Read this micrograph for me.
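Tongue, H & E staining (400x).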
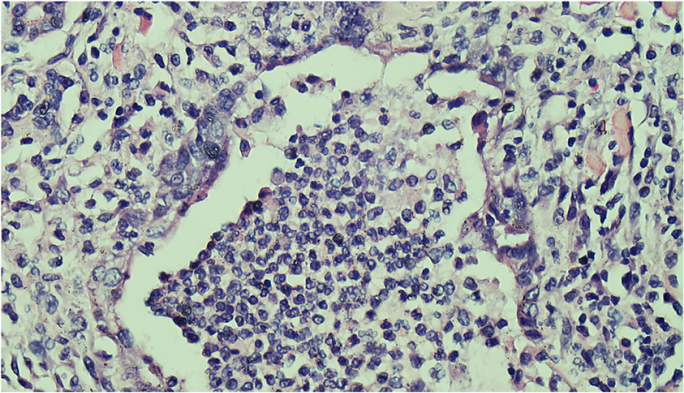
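The centre of the field is packed with a dense mass of small round cells, each with a dark purple round nucleus and very little cytoplasm, lying in a clear cleft-like space. Around them lies loose pale tissue holding oval and spindle-shaped cells with paler nuclei, more scattered small dark round cells and a few pink red blood cells. The crowded small round dark cells are the picture of infiltrating lymphocytes gathered in the tissue.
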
